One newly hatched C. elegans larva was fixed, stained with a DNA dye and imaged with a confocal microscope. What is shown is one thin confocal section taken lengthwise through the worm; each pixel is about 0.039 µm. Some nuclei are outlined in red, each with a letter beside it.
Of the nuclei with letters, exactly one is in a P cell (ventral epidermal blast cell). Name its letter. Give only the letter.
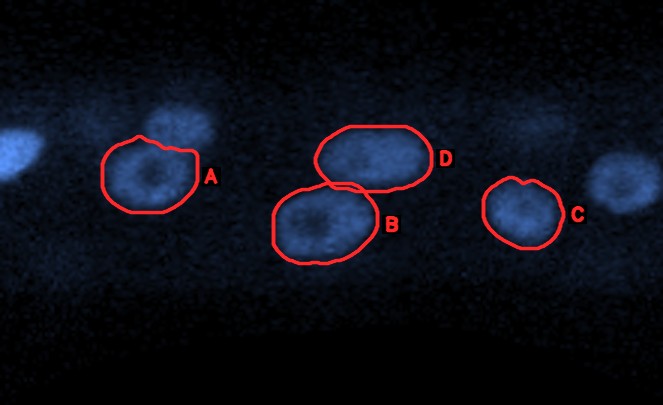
D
